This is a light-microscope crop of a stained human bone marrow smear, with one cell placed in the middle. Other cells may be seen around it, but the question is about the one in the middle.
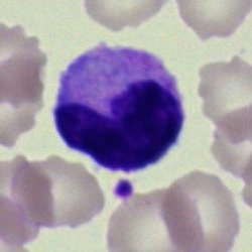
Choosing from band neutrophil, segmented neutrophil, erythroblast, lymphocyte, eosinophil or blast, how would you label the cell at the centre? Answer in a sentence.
The middle position in this crop is taken by a band neutrophil.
